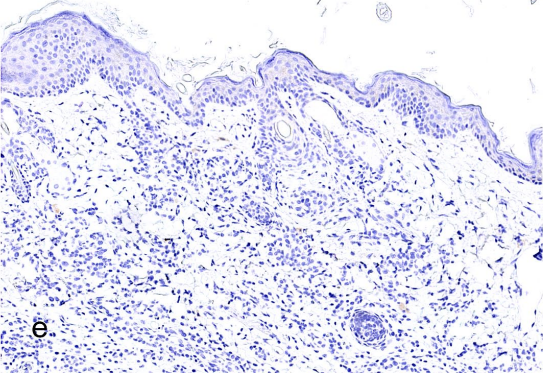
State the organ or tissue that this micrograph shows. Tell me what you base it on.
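A thin stratified squamous epidermis with a keratin layer at the surface. Hair shaft and follicle cross-sections within the dermis. Loose dermal connective tissue with scattered cells beneath the epidermis. On this evidence: Haired skin.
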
